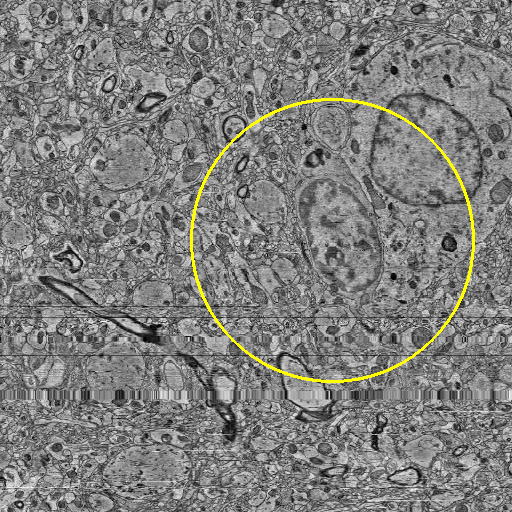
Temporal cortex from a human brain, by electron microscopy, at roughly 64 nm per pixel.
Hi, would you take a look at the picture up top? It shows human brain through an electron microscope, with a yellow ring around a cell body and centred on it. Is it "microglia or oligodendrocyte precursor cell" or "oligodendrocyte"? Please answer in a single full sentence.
The best fit for the cell in the middle of the ring is an oligodendrocyte, I reckon.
